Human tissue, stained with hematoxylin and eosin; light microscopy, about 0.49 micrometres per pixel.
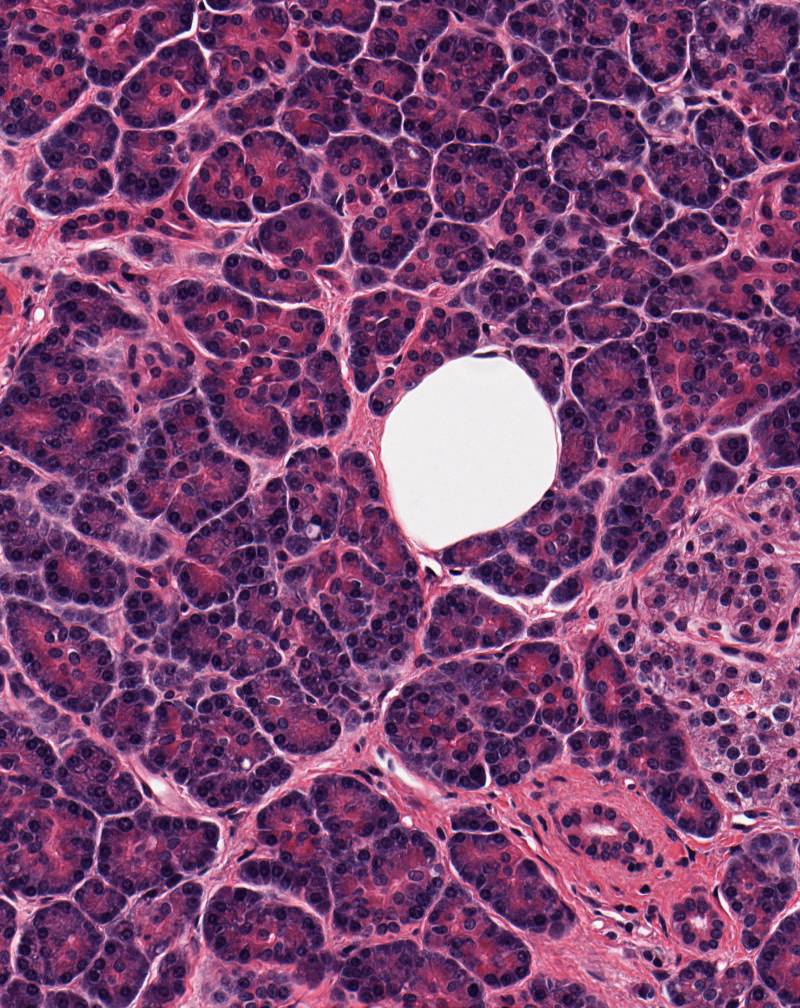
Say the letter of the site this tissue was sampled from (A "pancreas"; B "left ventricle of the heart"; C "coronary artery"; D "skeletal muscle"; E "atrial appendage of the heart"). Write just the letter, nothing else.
A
